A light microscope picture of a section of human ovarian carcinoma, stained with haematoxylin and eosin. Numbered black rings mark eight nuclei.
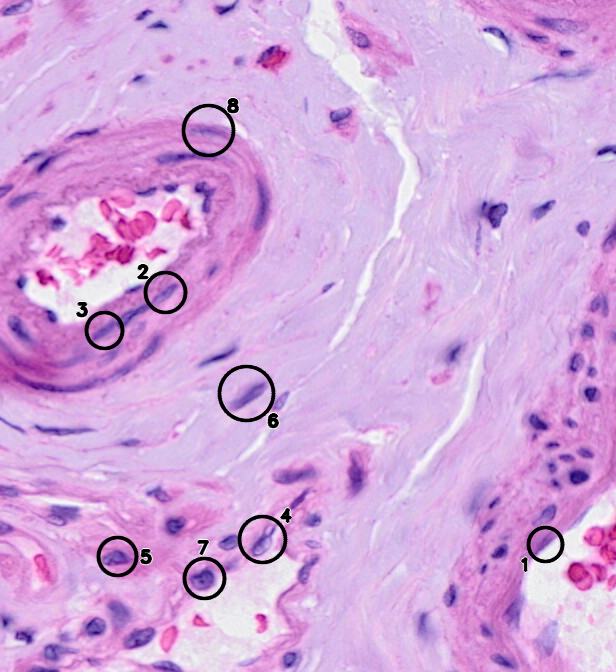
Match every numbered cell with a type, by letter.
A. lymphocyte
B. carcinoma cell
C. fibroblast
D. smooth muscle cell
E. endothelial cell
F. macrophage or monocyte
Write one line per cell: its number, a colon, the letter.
1: E
2: D
3: D
4: E
5: D
6: C
7: E
8: D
